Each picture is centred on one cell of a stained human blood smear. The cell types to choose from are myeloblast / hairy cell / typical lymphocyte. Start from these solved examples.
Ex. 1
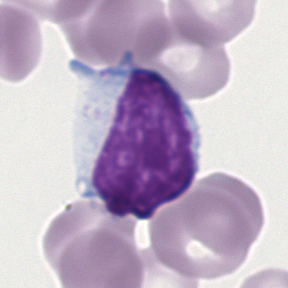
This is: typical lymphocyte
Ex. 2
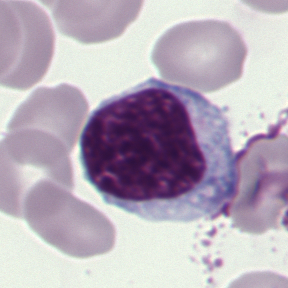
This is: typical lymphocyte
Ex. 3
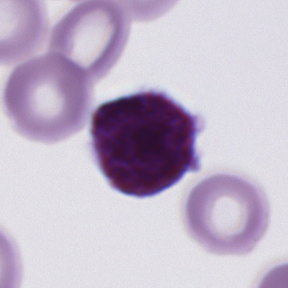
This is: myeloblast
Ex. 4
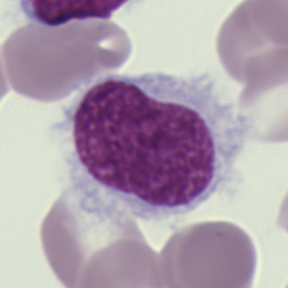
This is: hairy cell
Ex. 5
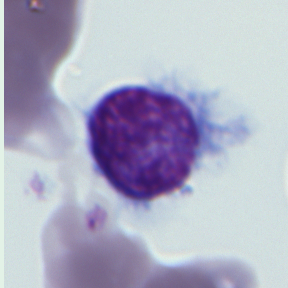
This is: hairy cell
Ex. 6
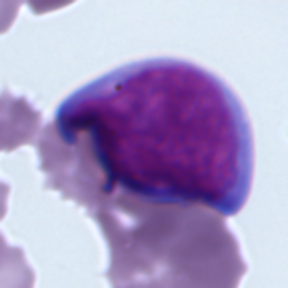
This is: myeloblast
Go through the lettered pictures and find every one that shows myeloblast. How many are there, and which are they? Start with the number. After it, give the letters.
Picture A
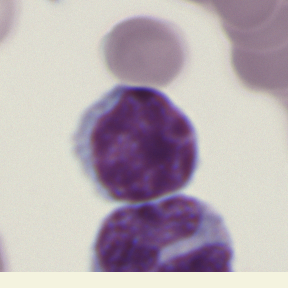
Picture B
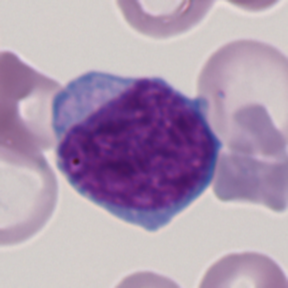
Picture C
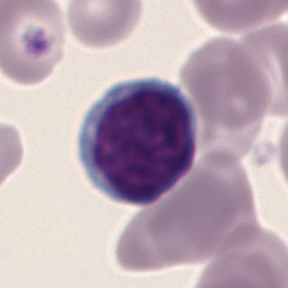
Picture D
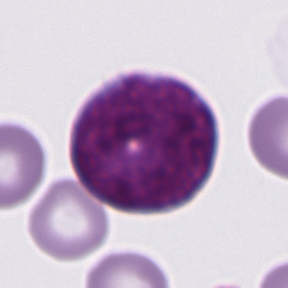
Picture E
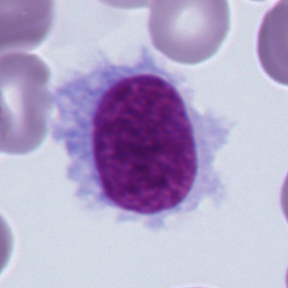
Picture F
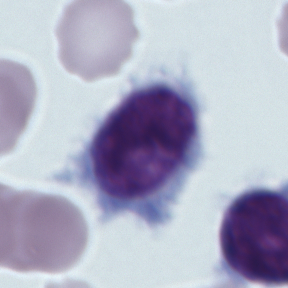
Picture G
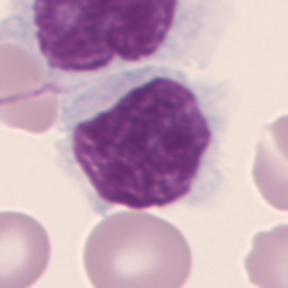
2, namely B, D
